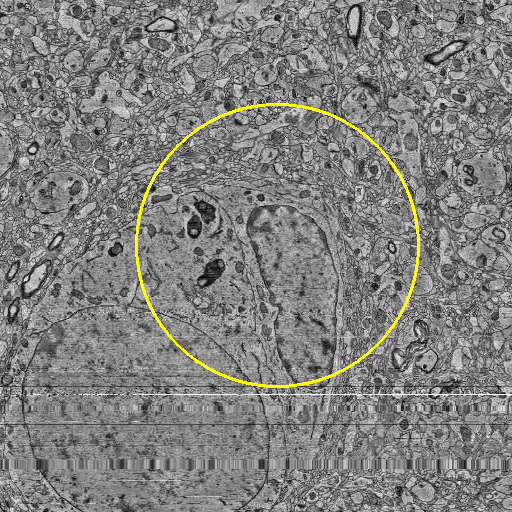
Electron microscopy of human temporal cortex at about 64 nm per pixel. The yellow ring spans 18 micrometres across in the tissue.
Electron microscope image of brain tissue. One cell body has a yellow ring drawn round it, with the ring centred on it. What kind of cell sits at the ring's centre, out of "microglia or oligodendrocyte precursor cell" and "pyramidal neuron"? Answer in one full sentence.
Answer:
It is a microglial cell or oligodendrocyte precursor cell whose cell body sits at the centre of the yellow ring.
